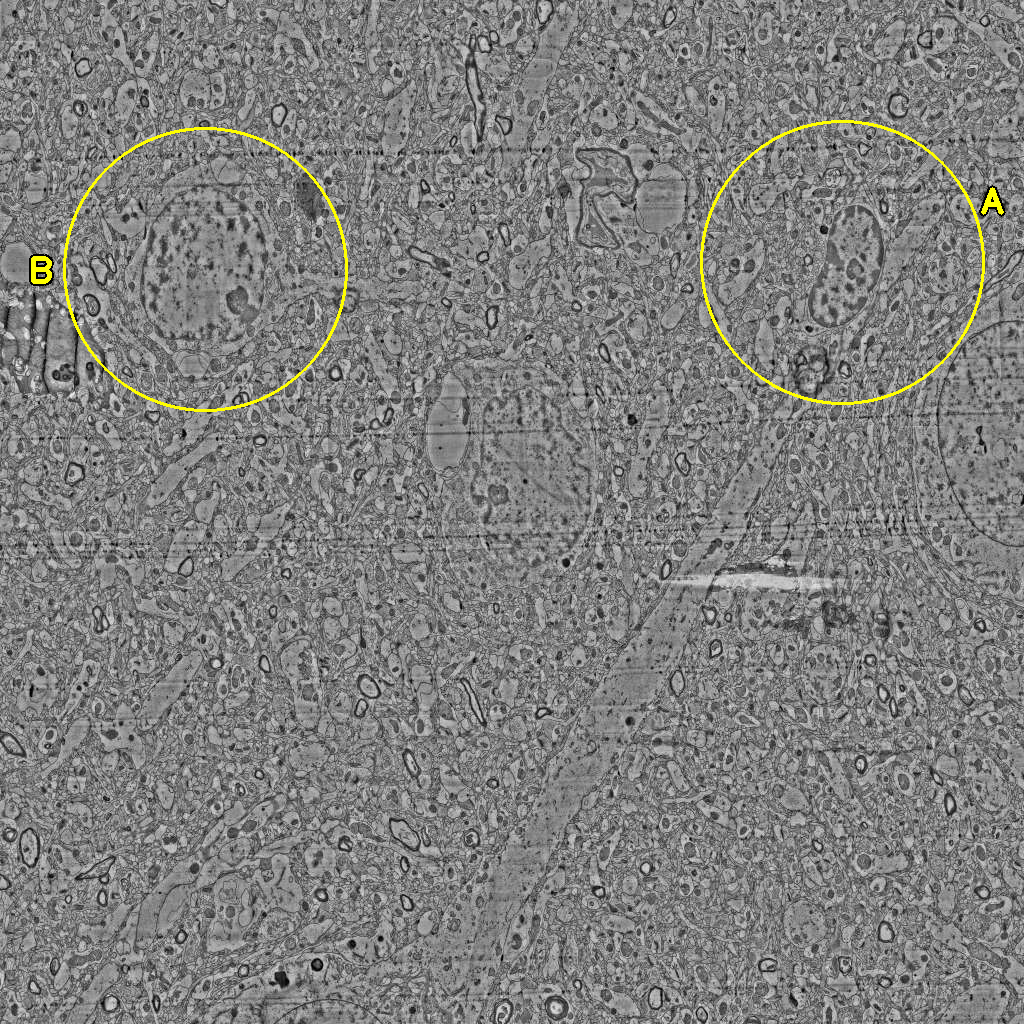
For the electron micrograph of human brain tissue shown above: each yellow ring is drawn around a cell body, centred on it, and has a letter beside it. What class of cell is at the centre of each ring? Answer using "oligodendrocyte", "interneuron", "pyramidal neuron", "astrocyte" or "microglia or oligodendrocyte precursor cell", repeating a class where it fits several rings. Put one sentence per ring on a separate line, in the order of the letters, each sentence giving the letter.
At ring A, the central cell is a microglial cell or oligodendrocyte precursor cell.
At ring B, the central cell is an interneuron.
